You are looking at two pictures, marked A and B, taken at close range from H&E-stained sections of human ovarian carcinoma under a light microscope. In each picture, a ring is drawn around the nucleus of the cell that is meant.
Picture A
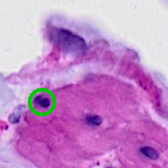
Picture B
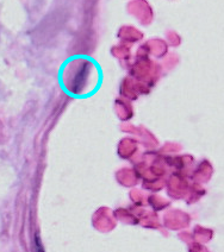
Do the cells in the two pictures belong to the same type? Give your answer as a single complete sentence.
No. Picture A shows a smooth muscle cell, but picture B shows an endothelial cell.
